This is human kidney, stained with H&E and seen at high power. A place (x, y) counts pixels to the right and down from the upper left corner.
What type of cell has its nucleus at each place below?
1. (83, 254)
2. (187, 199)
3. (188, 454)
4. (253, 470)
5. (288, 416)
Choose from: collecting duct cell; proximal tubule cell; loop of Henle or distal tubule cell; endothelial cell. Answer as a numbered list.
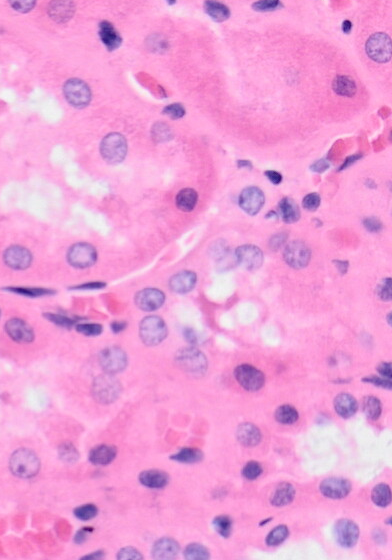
1. proximal tubule cell
2. proximal tubule cell
3. endothelial cell
4. loop of Henle or distal tubule cell
5. loop of Henle or distal tubule cell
